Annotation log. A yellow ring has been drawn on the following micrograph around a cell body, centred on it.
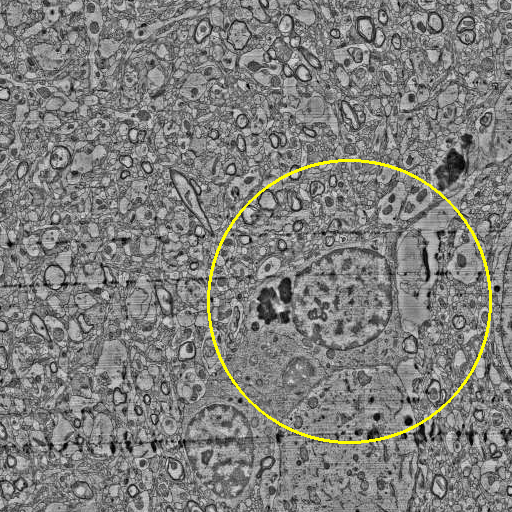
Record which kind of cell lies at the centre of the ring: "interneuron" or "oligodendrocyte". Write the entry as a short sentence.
The cell the ring is centred on is an oligodendrocyte.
